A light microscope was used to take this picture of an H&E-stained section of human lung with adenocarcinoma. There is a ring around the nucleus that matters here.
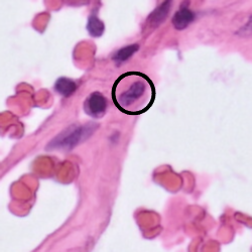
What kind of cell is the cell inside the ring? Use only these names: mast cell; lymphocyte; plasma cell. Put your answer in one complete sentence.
In terms of identity, the cell inside the ring is a mast cell.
